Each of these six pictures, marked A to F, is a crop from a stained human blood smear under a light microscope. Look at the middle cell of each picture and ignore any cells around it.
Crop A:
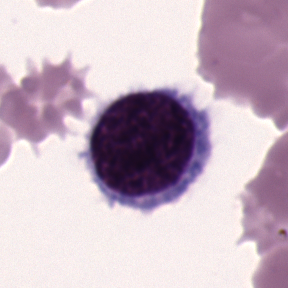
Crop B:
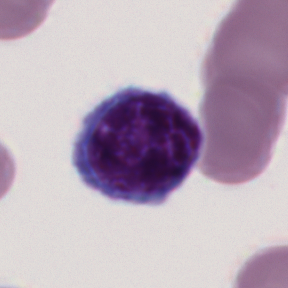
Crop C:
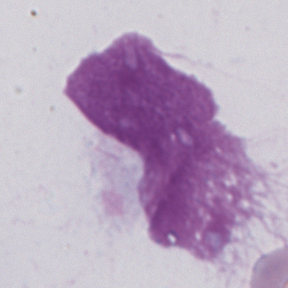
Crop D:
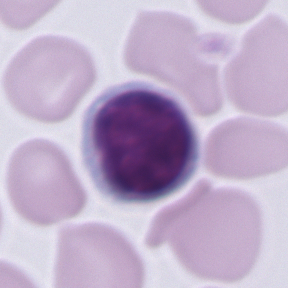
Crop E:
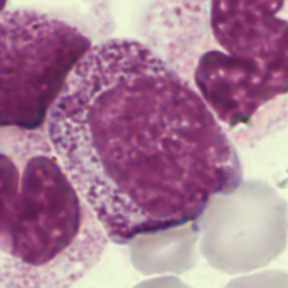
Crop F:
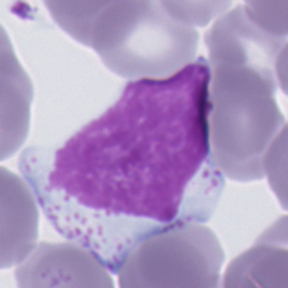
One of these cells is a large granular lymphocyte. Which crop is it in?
F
